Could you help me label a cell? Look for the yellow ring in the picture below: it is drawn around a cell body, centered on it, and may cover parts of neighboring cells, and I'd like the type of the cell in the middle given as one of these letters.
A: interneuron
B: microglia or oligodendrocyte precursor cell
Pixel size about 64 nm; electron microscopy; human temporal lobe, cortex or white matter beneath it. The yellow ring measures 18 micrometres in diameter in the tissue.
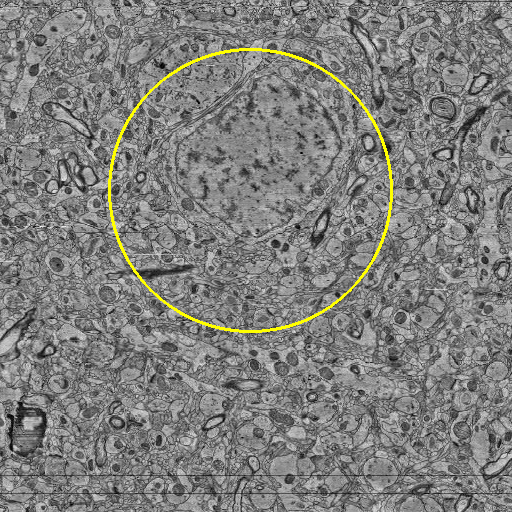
A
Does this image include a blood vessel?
No, none is visible.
